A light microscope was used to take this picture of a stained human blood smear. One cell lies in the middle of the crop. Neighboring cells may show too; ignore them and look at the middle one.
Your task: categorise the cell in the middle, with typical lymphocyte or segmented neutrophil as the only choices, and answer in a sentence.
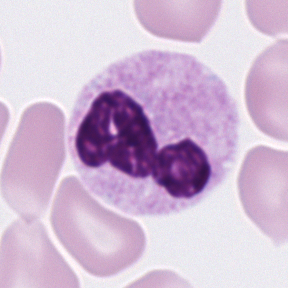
Seen at the centre of the crop is a segmented neutrophil.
